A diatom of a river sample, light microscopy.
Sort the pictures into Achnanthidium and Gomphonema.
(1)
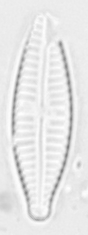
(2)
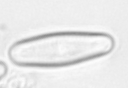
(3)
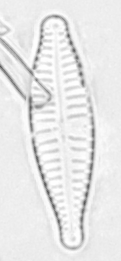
Gomphonema: 1, 3
Achnanthidium: 2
